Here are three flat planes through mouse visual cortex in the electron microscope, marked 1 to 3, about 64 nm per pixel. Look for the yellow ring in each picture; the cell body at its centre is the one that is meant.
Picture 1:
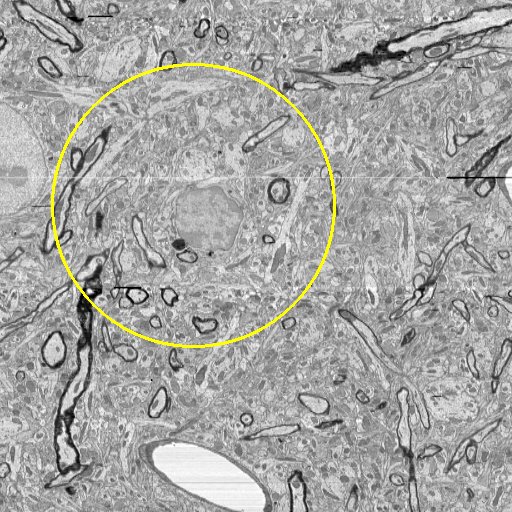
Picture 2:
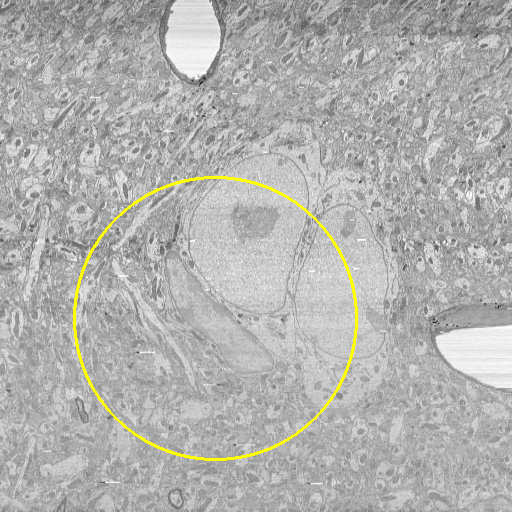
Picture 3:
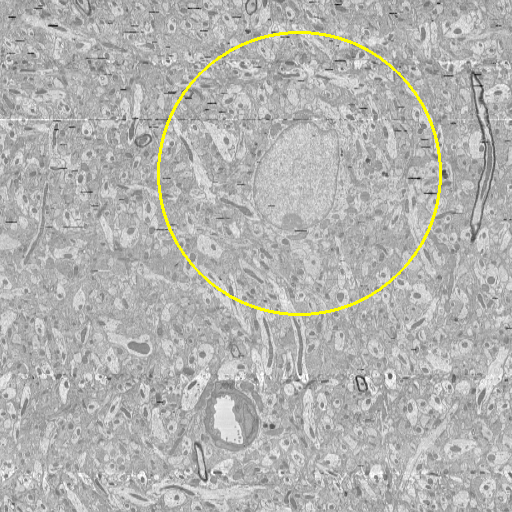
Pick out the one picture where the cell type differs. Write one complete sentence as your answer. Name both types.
All pictures except 3 show microglial cells; picture 3 shows an astrocyte.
